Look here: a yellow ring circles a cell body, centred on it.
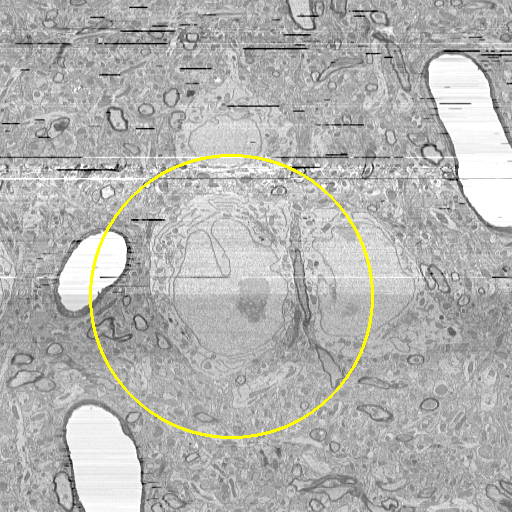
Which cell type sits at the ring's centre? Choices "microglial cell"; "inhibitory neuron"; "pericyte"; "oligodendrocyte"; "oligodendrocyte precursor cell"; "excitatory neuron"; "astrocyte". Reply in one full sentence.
The cell at the centre of the yellow ring in the picture is an inhibitory neuron.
